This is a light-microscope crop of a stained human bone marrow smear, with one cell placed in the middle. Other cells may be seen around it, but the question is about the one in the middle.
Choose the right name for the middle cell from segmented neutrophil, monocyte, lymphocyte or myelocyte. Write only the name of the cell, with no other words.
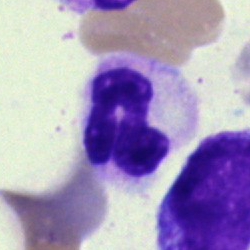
segmented neutrophil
